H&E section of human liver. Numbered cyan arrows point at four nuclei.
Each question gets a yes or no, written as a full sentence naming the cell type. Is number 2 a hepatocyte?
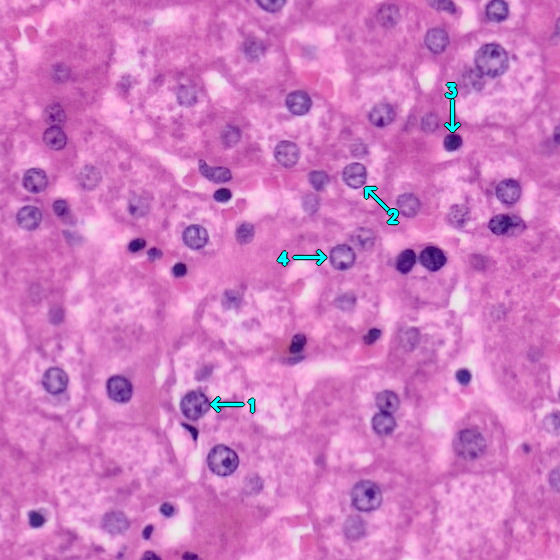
Yes, among the marked cells, the one with number 2 is a hepatocyte.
